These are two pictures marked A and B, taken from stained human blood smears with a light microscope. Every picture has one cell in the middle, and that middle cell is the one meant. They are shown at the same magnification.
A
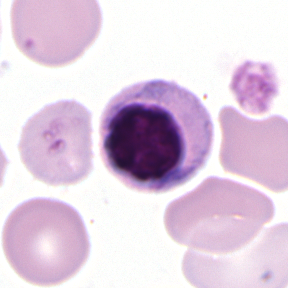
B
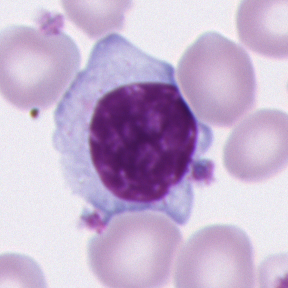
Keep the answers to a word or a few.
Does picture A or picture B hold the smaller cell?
A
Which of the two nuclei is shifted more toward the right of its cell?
B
